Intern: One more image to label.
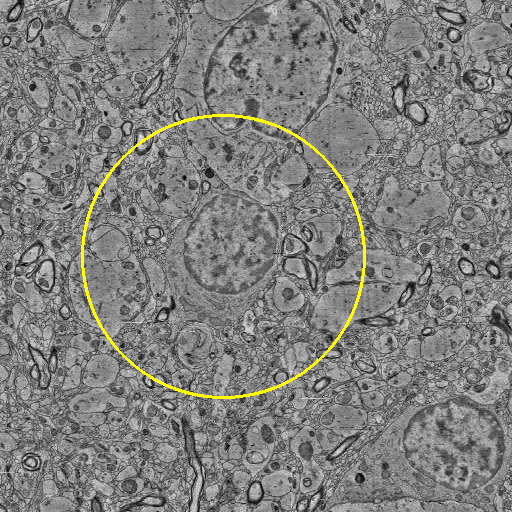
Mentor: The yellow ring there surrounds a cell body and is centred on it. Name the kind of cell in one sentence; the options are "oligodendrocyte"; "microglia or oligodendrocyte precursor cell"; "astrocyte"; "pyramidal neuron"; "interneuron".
The ring marks the cell body of an oligodendrocyte.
